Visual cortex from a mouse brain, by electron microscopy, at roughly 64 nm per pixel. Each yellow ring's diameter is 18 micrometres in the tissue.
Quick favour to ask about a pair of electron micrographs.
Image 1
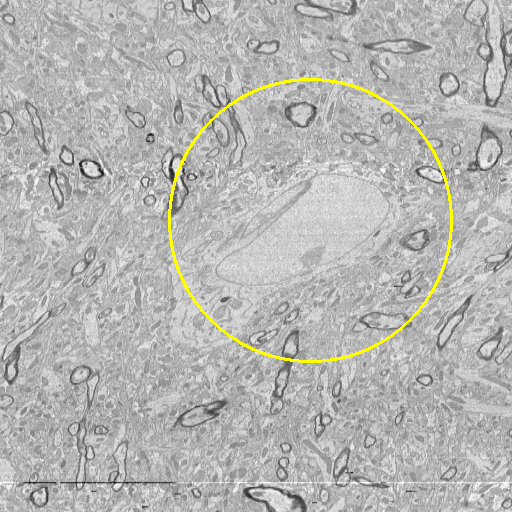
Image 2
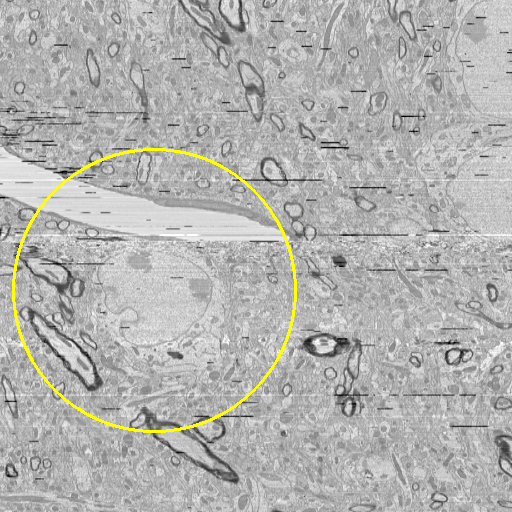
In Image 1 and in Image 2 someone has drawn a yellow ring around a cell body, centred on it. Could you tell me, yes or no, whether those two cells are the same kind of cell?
yes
